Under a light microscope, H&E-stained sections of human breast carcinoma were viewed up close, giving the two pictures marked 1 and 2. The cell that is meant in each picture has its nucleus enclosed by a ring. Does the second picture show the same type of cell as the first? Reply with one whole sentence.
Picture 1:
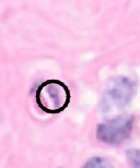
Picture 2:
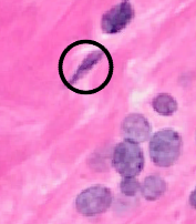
No, picture 1 shows an endothelial cell and picture 2 shows a fibroblast.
